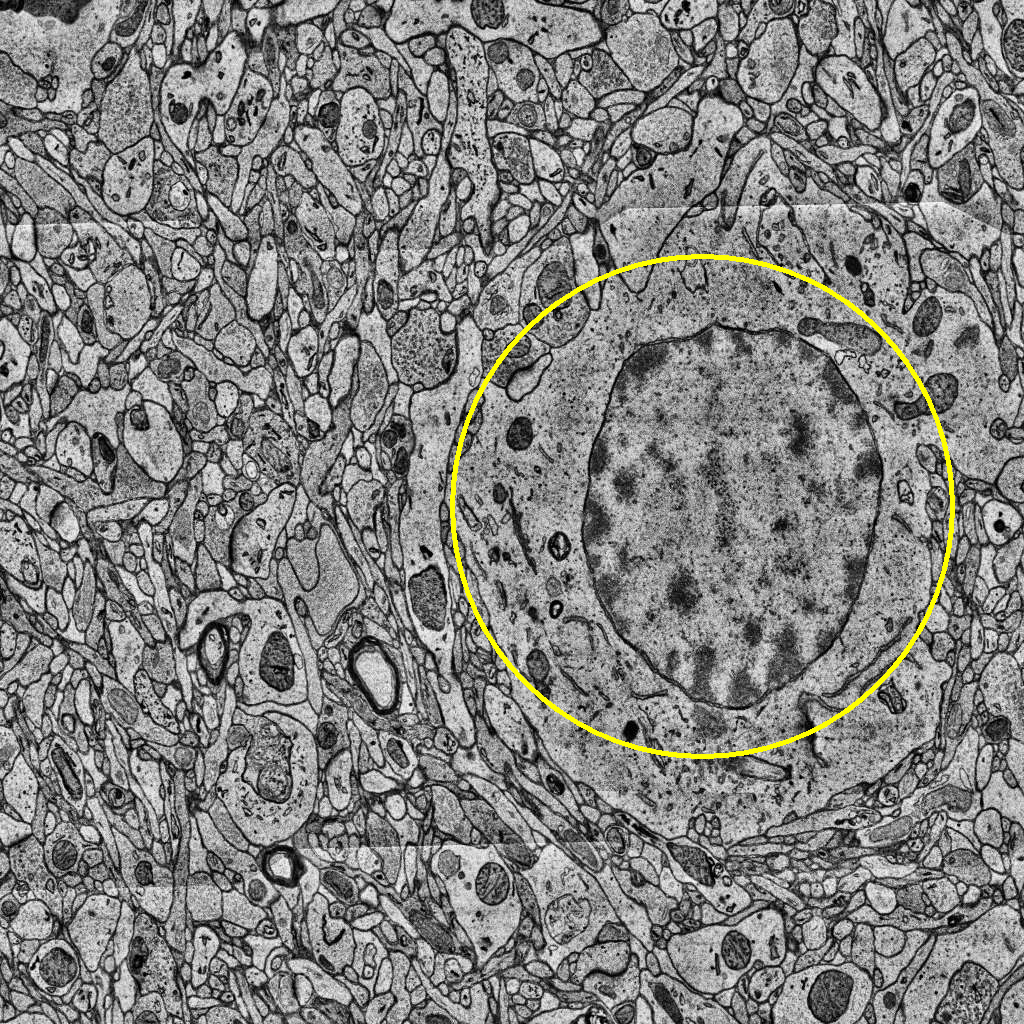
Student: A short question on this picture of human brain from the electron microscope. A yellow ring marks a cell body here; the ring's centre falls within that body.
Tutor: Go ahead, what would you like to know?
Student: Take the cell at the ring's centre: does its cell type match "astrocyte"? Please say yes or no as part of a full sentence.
Yes, in the picture, the cell at the ring's centre has that cell type.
